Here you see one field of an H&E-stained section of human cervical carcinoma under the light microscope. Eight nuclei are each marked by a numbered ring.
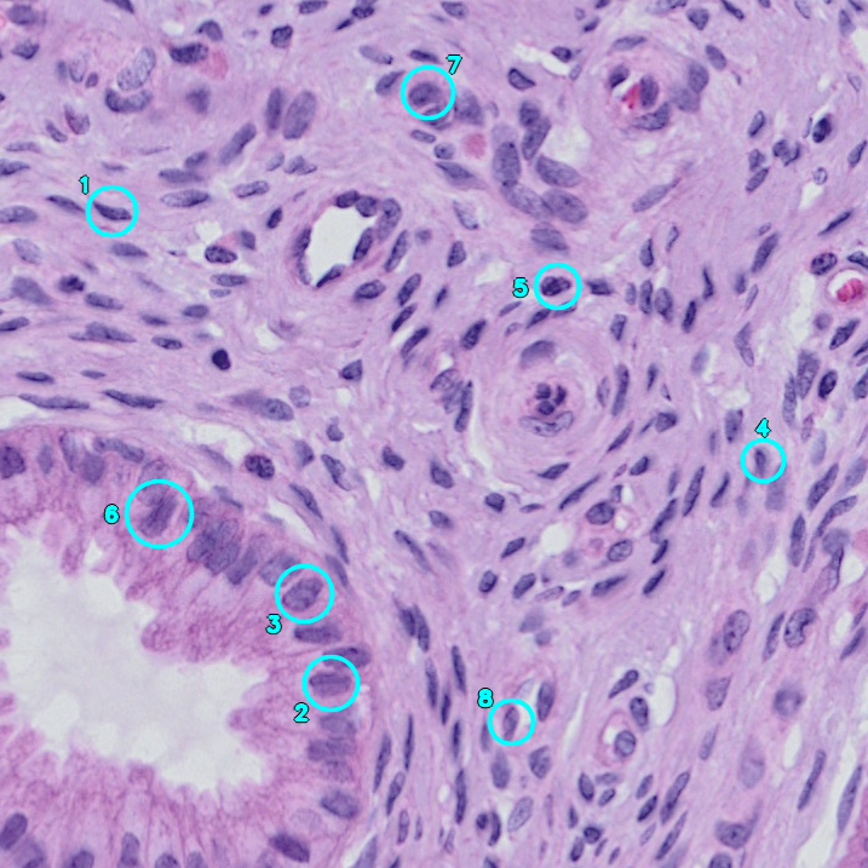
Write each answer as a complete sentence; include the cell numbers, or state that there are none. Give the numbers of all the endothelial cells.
The numbers 7 and 8 refer to cells that are endothelial cells.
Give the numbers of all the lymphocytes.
Only one marked cell, number 5, is a lymphocyte.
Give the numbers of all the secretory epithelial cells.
The cells referred to by the numbers 2, 3 and 6 are secretory epithelial cells.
